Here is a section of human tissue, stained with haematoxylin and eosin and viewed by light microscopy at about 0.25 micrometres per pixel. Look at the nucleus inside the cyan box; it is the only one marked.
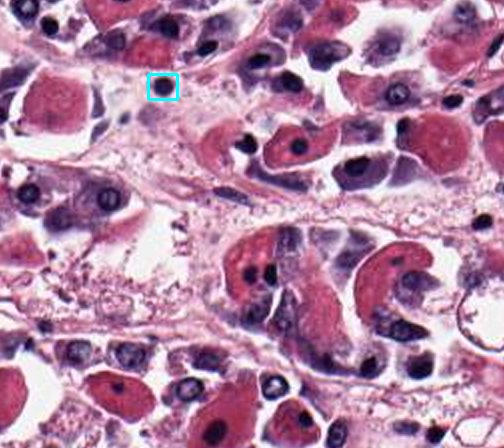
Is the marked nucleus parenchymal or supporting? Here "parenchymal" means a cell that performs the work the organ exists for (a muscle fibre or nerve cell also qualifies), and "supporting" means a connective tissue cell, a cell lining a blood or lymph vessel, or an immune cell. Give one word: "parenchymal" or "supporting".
supporting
